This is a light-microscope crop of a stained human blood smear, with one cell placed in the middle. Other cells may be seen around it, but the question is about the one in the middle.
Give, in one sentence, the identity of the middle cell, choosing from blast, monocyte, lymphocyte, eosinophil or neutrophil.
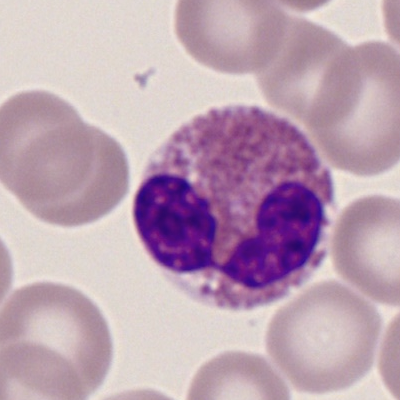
Whatever else lies nearby, the middle cell is an eosinophil.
